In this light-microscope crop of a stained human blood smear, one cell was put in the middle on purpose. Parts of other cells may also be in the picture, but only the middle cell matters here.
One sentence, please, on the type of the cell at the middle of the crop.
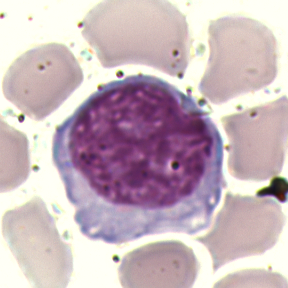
The centrally located cell in the crop is a plasma cell.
